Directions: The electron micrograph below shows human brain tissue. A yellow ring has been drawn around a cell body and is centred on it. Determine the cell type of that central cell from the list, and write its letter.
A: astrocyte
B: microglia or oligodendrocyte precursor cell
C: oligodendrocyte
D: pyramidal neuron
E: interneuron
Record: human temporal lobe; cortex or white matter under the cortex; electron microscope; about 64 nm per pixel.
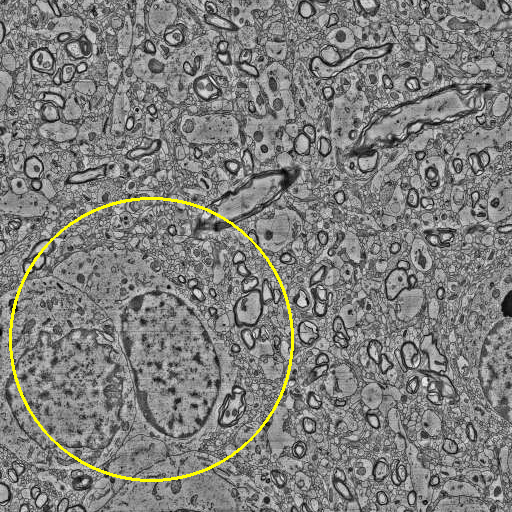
B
